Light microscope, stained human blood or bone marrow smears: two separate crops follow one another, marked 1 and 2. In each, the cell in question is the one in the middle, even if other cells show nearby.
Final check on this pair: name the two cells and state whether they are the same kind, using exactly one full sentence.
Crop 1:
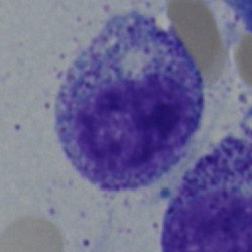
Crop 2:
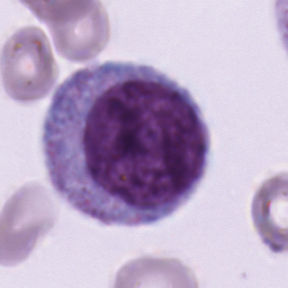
Yes, what both crops show is myelocytes.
